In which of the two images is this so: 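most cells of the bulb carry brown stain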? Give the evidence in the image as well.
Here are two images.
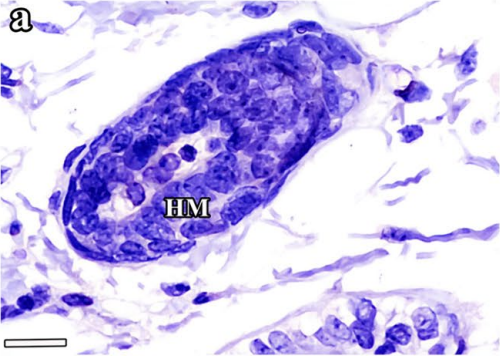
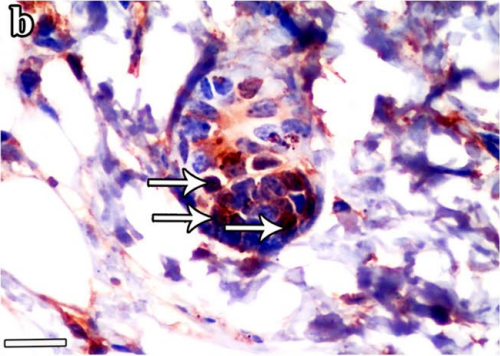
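The second image. Second image: dense brown stain covers many cells of the bulb and the surrounding tissue. First image: the bulb cells are blue only, with no brown stain.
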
